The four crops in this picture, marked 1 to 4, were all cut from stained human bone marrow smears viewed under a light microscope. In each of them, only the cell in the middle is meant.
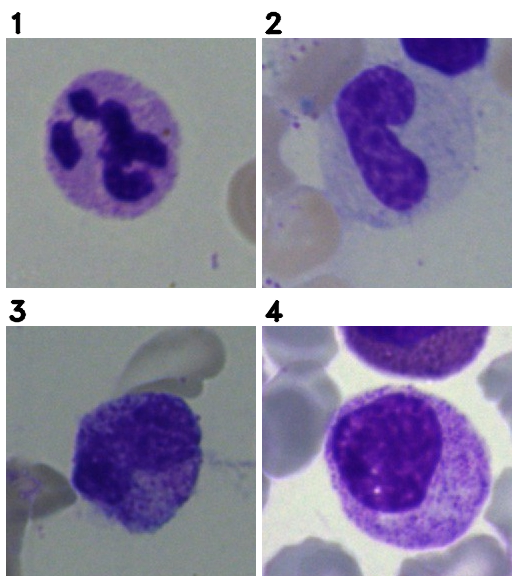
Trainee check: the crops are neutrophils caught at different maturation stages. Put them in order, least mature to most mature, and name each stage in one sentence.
Sorted by stage of maturation, earliest first, the sequence is crop 4 (a myelocyte), crop 3 (a metamyelocyte), crop 2 (a band neutrophil) and crop 1 (a segmented neutrophil).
